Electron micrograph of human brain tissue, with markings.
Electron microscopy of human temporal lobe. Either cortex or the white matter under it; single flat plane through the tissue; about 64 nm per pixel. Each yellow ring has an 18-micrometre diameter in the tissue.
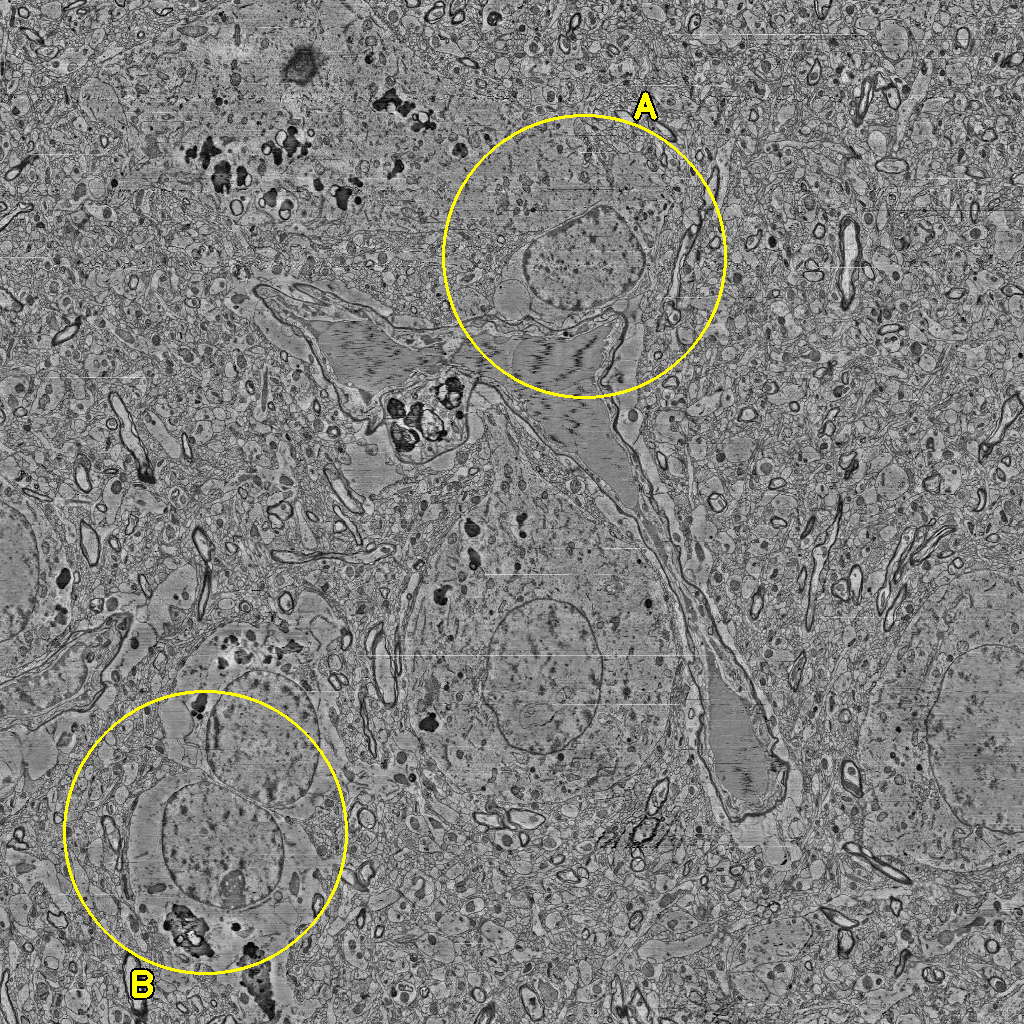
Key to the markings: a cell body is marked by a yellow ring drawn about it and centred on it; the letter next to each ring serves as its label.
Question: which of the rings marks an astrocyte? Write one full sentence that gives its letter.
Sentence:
In this picture, the ring marking that kind of cell has the letter B.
